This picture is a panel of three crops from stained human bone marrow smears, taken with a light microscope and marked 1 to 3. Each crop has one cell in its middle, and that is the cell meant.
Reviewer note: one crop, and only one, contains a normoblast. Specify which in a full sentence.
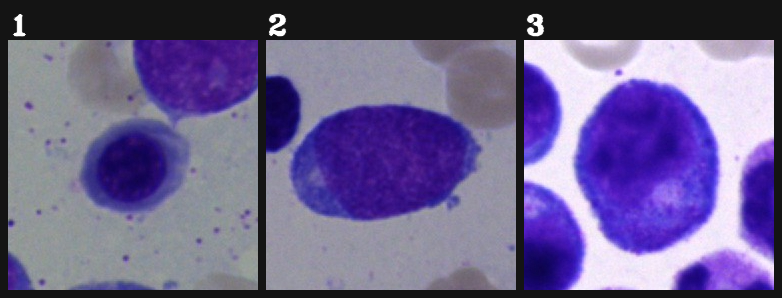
Crop 1, and no other, is the one that shows a normoblast.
